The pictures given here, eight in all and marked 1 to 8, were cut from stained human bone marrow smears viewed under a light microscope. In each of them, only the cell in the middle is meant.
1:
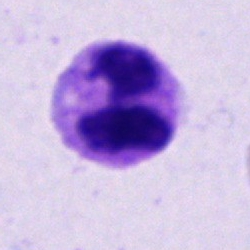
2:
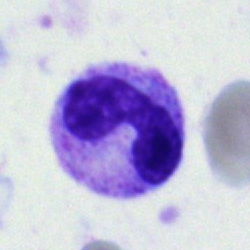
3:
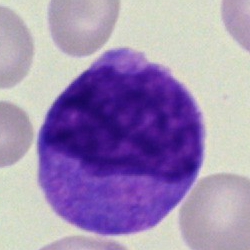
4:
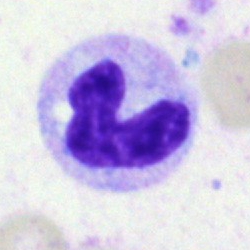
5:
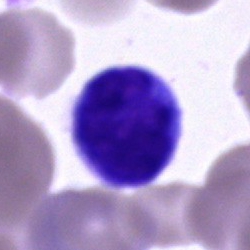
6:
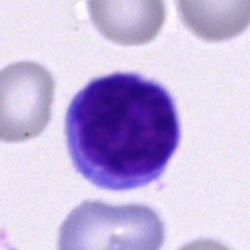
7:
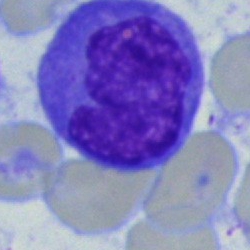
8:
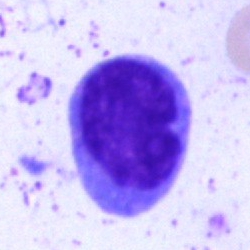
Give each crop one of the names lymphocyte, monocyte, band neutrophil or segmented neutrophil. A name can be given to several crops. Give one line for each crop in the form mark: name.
1: segmented neutrophil
2: band neutrophil
3: monocyte
4: band neutrophil
5: lymphocyte
6: lymphocyte
7: monocyte
8: monocyte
